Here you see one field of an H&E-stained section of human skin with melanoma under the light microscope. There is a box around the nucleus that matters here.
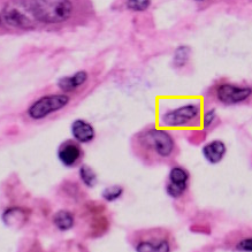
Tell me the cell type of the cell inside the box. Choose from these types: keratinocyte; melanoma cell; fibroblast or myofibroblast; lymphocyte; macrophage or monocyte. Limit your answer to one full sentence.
As far as its identity is concerned, the cell inside the box is a macrophage or monocyte.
